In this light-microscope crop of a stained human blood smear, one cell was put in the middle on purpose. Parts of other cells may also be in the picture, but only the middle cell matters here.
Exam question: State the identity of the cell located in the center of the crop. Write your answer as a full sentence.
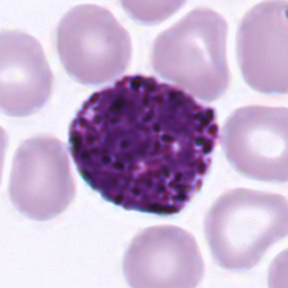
The cell centered in this field of view is a basophil.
